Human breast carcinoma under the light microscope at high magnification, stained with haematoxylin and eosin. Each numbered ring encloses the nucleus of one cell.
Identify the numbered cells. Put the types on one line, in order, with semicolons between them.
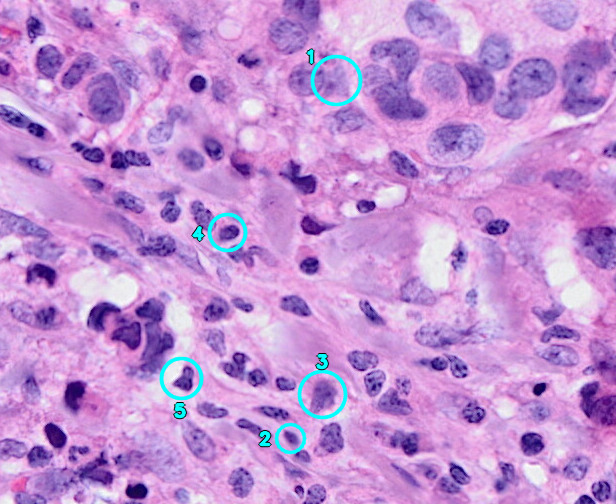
carcinoma cell; lymphocyte; macrophage, monocyte or dendritic cell; lymphocyte; lymphocyte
